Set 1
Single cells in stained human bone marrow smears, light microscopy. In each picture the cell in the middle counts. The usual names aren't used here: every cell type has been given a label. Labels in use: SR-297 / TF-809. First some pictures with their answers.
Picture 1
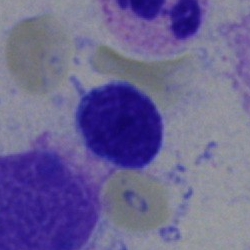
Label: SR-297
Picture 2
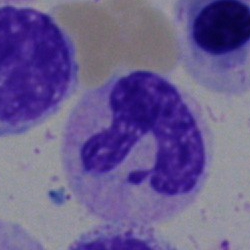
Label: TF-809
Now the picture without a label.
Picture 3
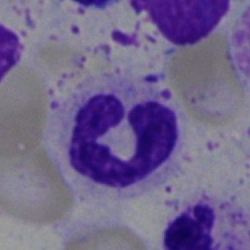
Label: TF-809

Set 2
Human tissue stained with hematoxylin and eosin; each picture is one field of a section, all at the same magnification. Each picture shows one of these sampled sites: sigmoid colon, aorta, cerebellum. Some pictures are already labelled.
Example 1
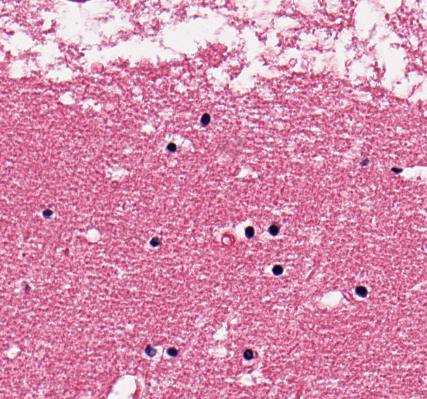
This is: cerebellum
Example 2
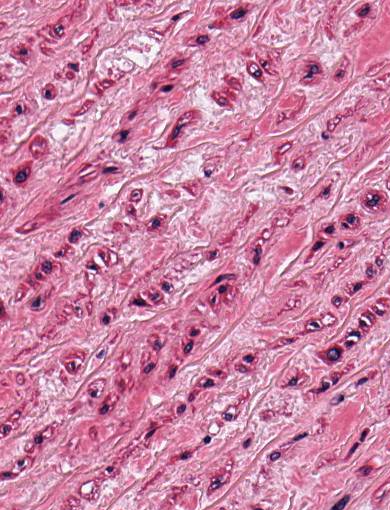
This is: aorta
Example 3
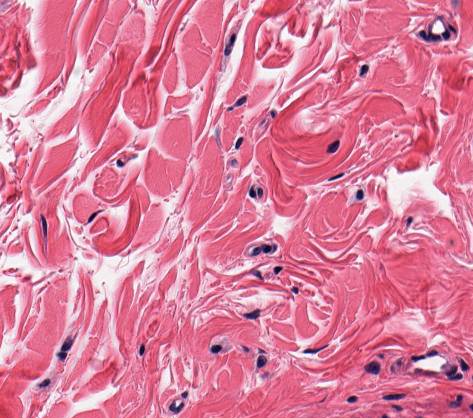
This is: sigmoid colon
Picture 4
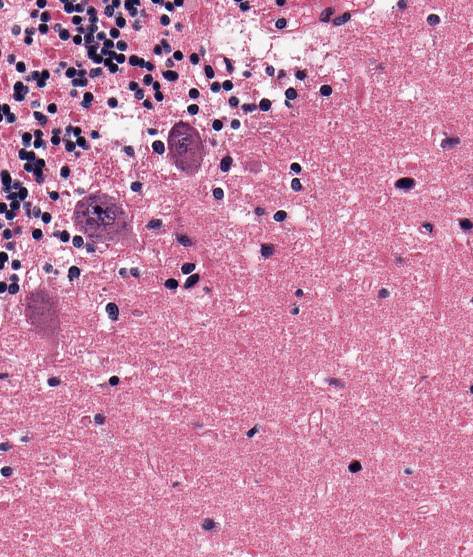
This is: cerebellum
